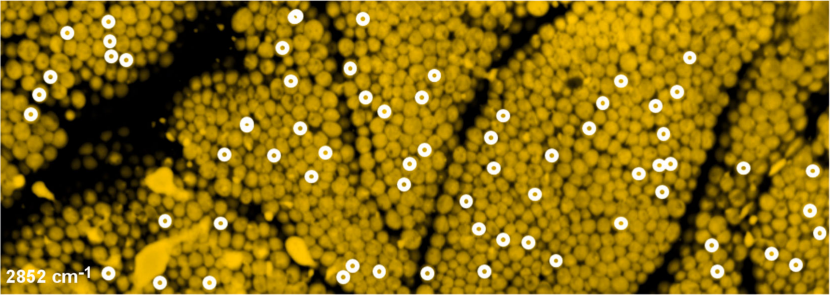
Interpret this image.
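The cells gather into lobules separated by dark, signal-poor bands. A few brighter, irregular patches lie between the lobules.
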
